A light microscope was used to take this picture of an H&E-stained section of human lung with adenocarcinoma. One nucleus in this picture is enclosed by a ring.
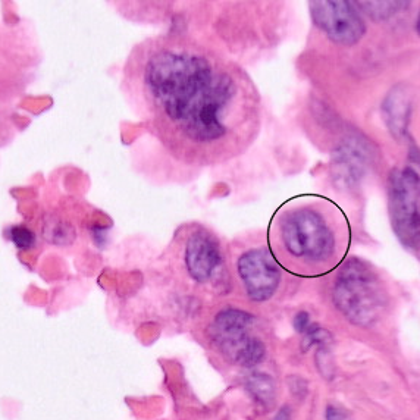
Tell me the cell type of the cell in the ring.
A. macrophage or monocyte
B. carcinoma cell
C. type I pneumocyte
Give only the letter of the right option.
B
